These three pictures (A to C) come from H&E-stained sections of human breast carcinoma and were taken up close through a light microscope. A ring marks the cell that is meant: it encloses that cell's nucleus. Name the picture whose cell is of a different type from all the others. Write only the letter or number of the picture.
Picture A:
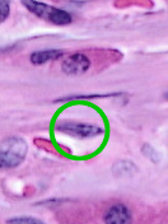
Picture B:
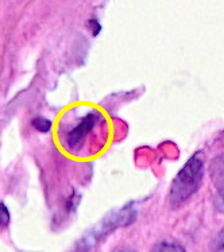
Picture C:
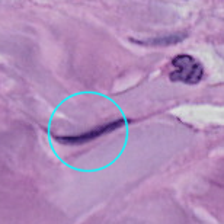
C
